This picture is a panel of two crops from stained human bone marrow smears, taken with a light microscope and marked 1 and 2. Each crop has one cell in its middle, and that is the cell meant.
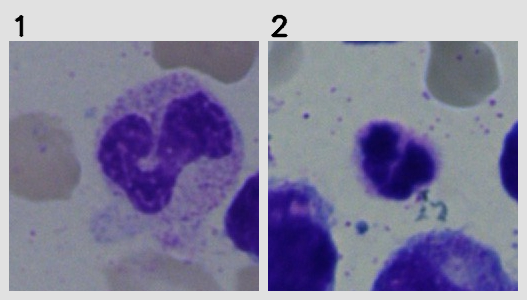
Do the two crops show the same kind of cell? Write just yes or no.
yes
